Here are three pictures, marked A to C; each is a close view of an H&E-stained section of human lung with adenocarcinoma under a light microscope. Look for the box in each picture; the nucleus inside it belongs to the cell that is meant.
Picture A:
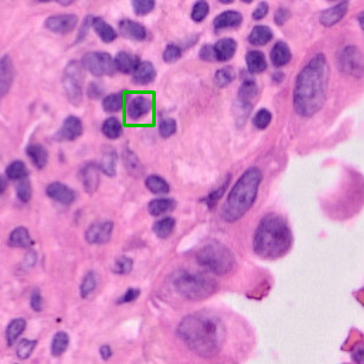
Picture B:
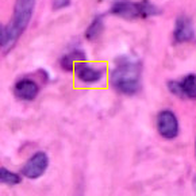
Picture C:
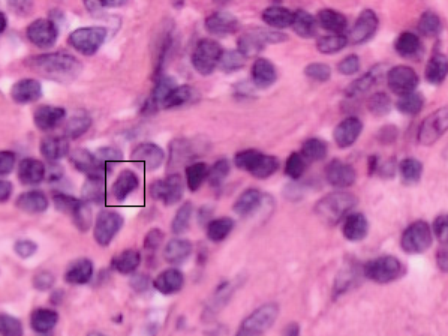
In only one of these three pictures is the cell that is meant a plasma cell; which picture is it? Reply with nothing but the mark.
B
